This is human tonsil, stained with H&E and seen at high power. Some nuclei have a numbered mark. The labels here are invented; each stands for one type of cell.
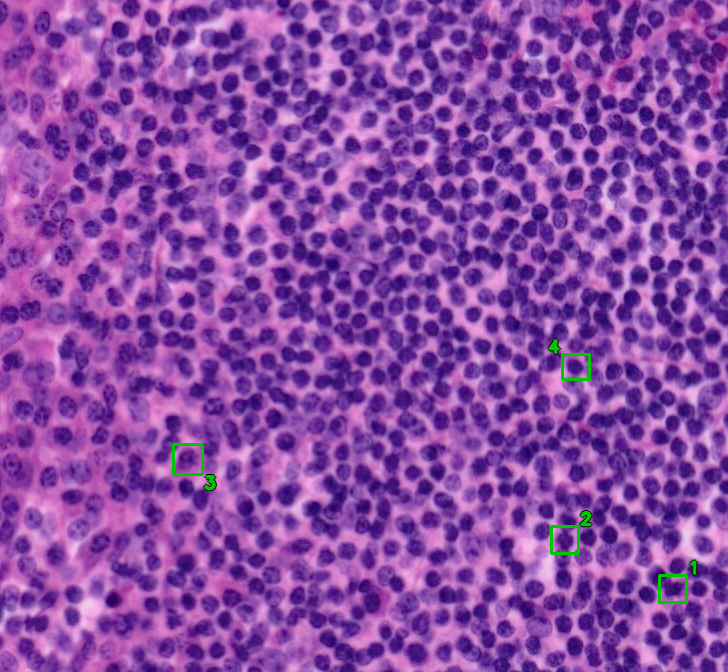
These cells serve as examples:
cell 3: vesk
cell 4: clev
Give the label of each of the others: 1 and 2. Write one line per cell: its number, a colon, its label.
1: clev
2: clev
